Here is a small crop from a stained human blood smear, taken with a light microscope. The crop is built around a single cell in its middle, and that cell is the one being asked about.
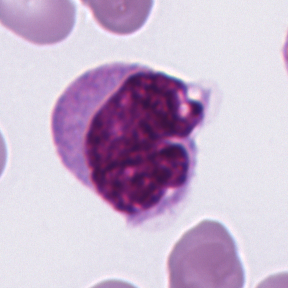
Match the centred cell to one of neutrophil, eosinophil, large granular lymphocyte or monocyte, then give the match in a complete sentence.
In the middle of this smear crop is a monocyte.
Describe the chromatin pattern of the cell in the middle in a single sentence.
Take a look at the chromatin, which is coarsely clumped.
